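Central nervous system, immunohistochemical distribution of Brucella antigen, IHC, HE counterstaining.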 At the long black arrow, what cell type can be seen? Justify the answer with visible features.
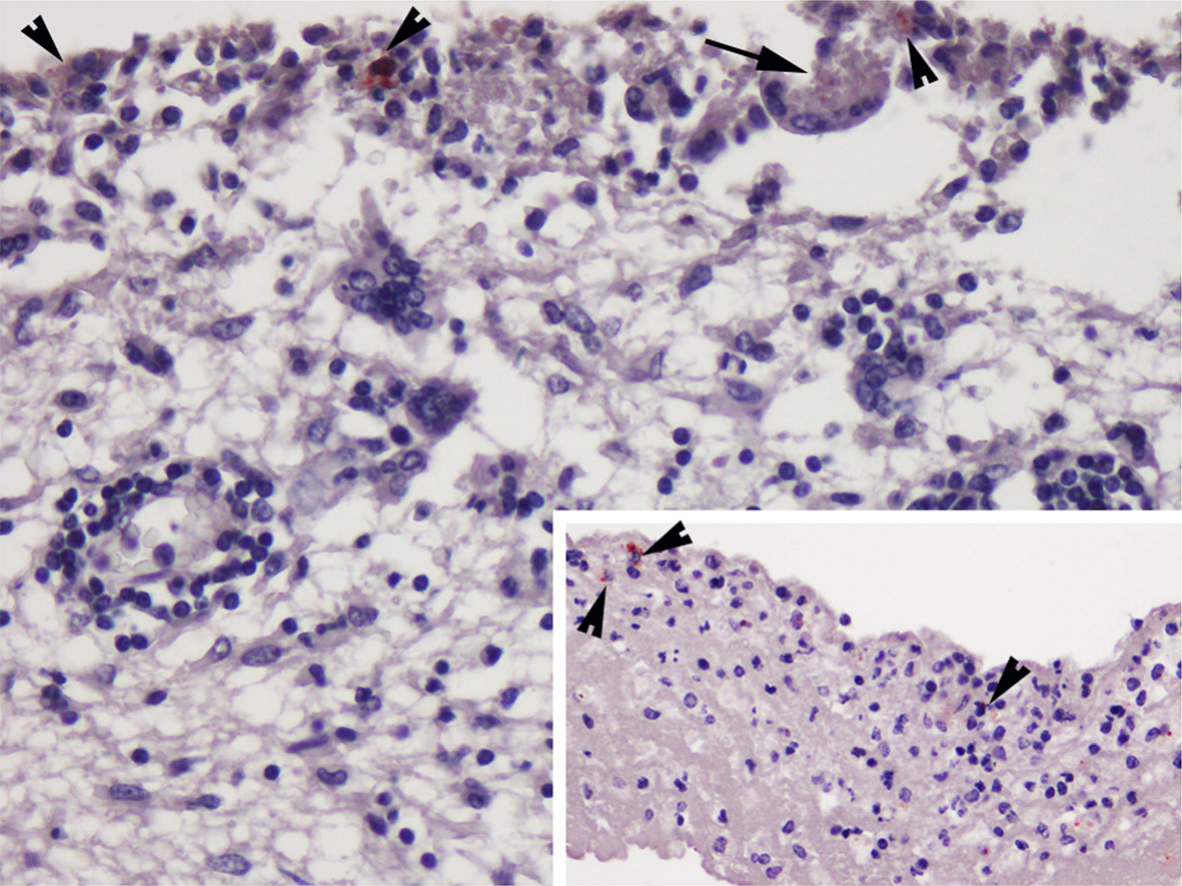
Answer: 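The arrow points to a large rounded cell at the surface, much bigger than the surrounding cells. It has abundant pale granular cytoplasm with nuclei at its edge. The answer: syncytia.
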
